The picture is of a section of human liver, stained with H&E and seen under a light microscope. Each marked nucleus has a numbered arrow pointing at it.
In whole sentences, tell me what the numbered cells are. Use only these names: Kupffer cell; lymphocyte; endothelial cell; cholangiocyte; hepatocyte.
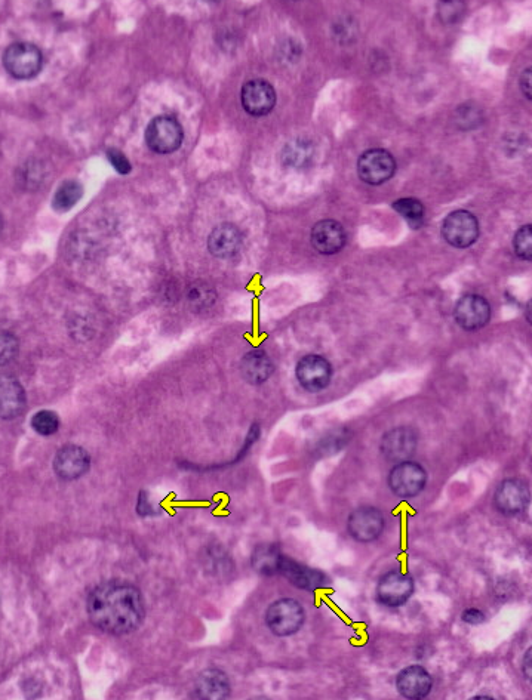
Cells 1 and 4 are hepatocytes. Cell 2 is an endothelial cell. Cell 3 is a Kupffer cell.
